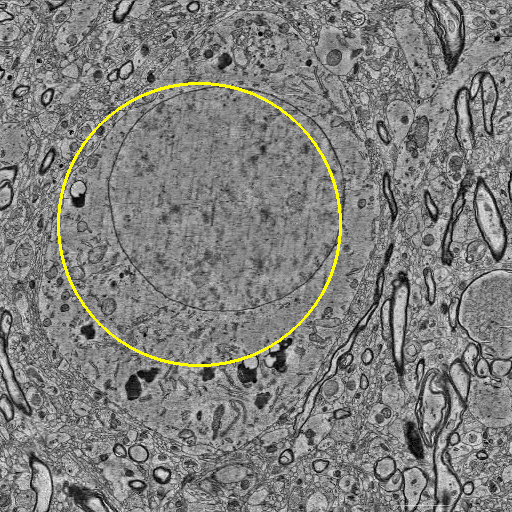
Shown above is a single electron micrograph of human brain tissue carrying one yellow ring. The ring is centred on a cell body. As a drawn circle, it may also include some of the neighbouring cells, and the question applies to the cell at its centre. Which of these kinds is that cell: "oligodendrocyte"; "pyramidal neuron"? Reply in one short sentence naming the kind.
The cell marked by the ring is a pyramidal neuron.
